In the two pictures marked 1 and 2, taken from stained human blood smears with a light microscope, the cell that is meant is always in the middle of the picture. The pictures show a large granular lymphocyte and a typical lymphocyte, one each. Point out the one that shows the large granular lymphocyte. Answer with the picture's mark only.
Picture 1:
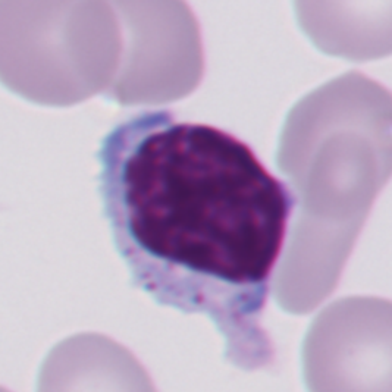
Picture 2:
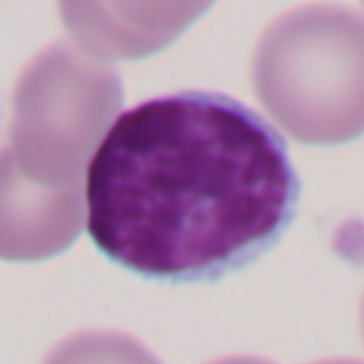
1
